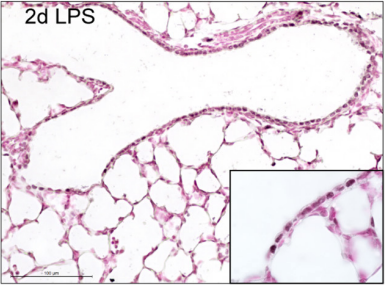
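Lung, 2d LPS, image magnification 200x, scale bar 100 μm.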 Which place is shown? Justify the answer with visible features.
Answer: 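Distal airways. A large branching air space lined by a thin single-layered epithelium. Alveolar tissue surrounds the airway directly.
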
